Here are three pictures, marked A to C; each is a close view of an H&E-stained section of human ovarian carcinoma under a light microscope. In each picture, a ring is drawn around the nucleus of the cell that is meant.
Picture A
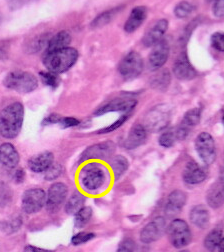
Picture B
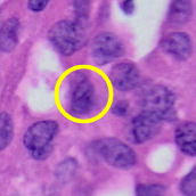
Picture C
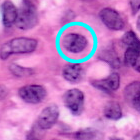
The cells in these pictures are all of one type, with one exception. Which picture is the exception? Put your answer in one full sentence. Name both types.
Unlike the rest, which show “macrophages or monocytes”, picture B shows a carcinoma cell.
